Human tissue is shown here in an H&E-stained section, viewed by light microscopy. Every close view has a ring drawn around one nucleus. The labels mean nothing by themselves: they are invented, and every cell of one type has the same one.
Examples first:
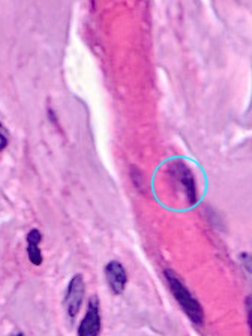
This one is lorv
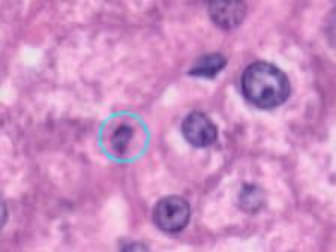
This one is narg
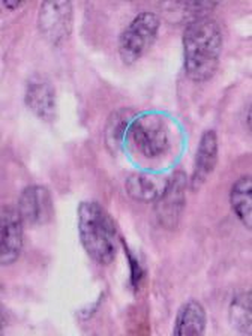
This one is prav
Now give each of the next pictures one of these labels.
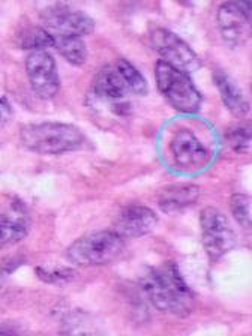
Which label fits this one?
prav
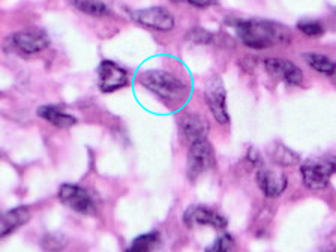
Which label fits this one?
prav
